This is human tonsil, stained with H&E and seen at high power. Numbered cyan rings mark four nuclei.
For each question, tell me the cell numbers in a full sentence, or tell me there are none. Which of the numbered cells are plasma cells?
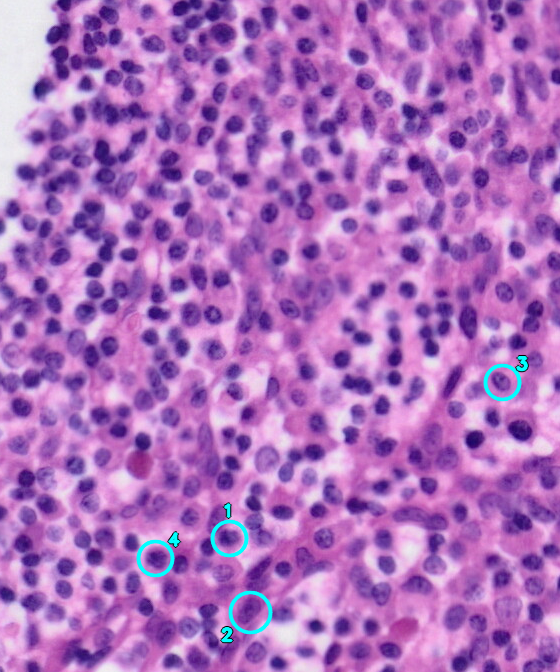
The cells that bear the numbers 1, 3 and 4 are plasma cells.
